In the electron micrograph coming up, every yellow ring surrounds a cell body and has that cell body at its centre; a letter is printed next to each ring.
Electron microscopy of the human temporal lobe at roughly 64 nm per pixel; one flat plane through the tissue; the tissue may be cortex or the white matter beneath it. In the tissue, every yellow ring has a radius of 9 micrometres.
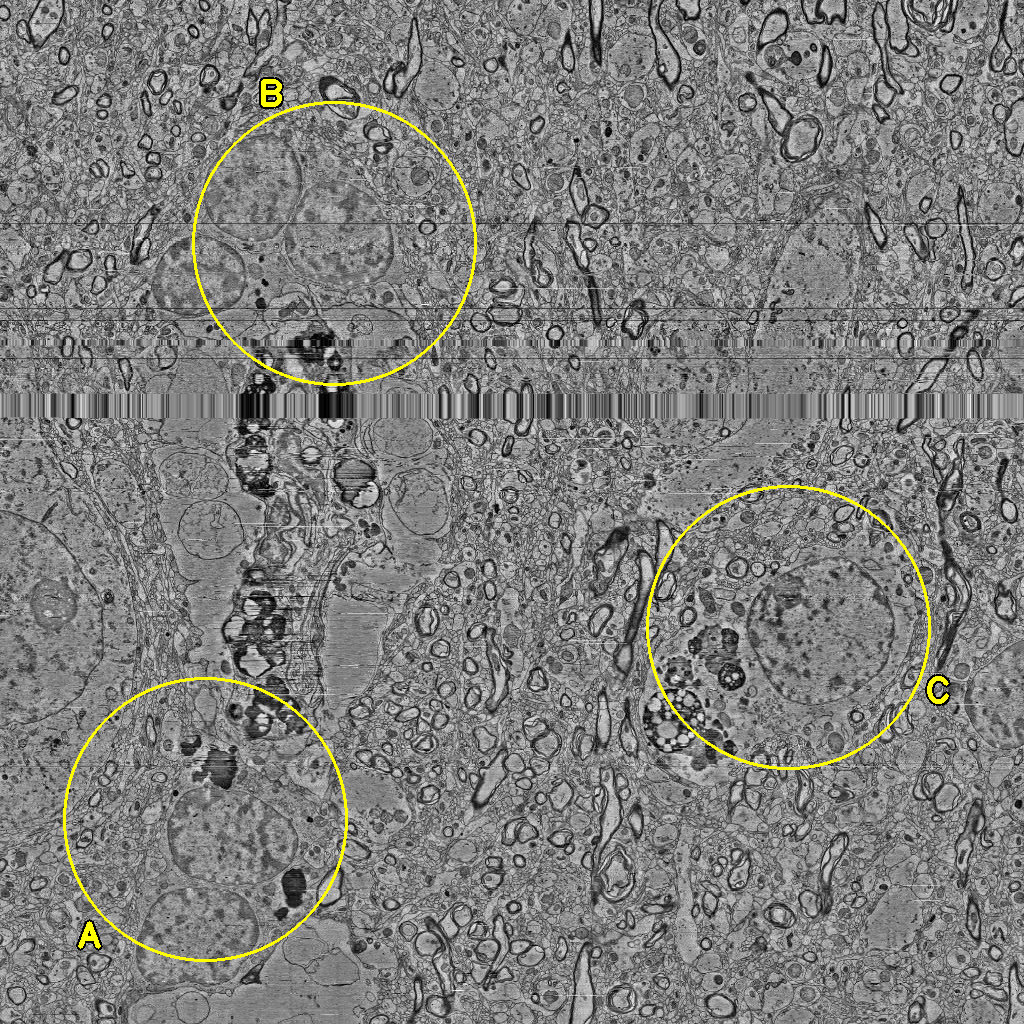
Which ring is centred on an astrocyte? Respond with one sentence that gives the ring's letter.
Ring C is the one whose centre sits on the cell asked for in the picture.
